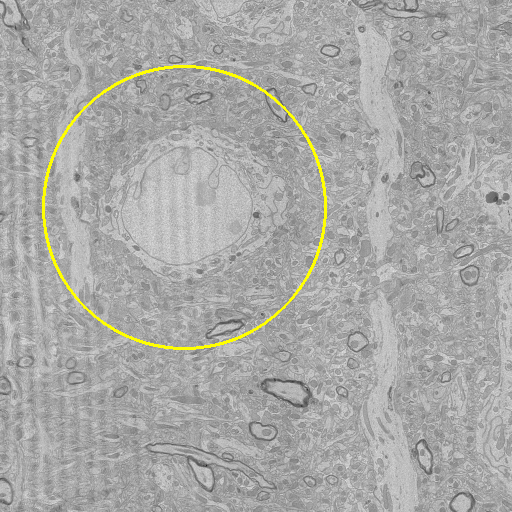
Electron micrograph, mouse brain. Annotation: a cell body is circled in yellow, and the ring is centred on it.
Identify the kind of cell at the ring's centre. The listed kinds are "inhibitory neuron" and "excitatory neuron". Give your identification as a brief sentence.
The circled cell body is that of an excitatory neuron.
